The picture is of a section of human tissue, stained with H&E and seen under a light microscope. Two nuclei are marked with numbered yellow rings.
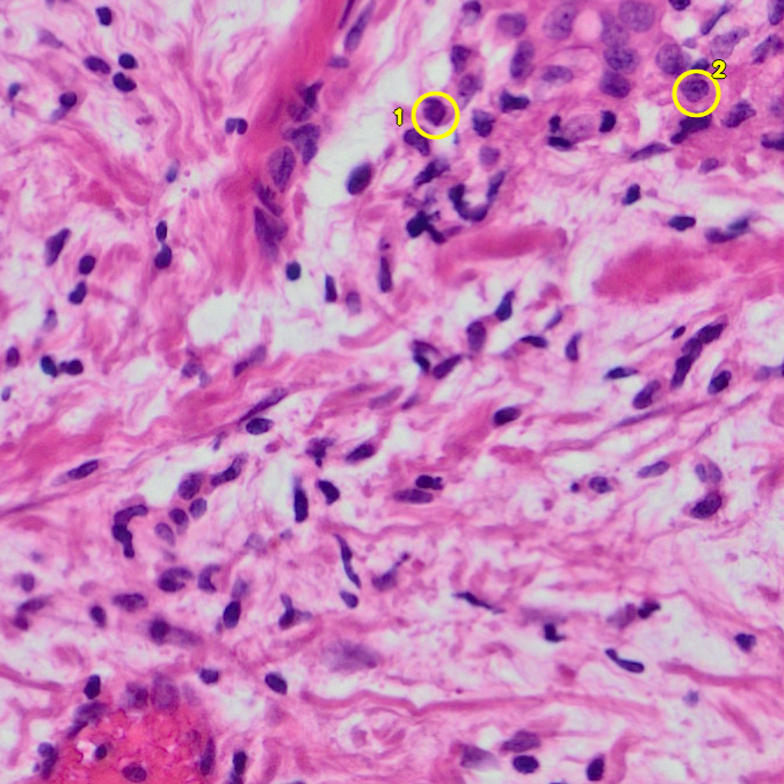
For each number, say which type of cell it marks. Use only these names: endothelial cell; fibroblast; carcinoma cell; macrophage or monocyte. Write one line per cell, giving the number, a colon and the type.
1: carcinoma cell
2: macrophage or monocyte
